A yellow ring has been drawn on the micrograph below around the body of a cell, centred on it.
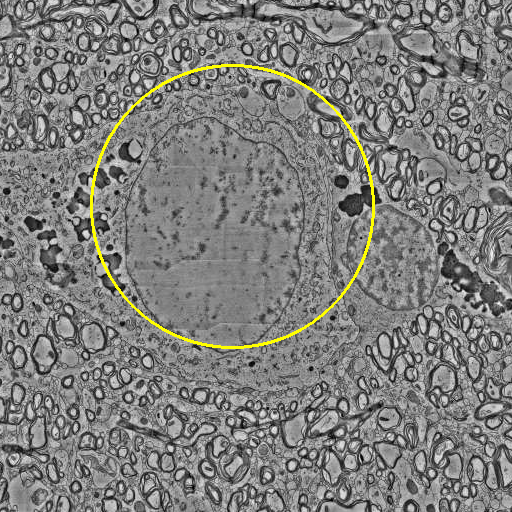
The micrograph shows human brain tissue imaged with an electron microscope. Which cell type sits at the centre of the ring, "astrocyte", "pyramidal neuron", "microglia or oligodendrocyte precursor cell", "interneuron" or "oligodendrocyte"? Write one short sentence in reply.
The cell sitting at the centre of the ring is a pyramidal neuron.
